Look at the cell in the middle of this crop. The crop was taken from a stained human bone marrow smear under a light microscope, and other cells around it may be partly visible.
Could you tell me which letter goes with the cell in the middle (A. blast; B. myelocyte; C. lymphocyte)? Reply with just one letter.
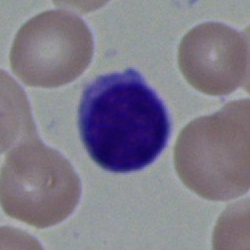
C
